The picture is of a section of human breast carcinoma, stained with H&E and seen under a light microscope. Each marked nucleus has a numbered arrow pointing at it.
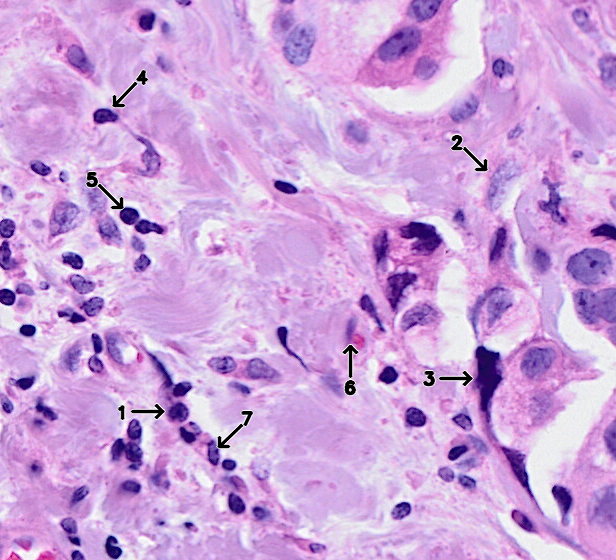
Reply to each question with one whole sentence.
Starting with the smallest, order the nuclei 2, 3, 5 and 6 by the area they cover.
Smallest first, the nuclei run 6, 5, 2, 3.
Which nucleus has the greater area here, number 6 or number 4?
Number 4 is larger; its area is about 2 times that of number 6.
